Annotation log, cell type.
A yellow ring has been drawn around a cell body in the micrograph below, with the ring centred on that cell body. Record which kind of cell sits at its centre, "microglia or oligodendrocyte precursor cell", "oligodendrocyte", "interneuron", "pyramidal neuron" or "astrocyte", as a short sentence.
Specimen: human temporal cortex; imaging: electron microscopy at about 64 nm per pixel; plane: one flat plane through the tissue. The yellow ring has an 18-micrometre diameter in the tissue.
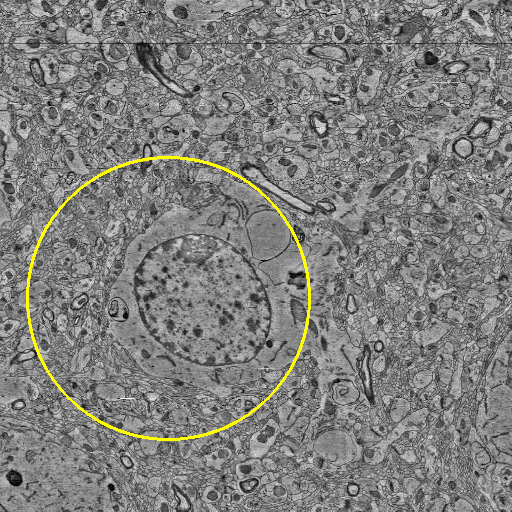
The cell at the centre of this ring is an astrocyte.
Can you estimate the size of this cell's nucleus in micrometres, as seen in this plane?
In this plane, the nucleus is roughly 10 by 8 micrometres.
